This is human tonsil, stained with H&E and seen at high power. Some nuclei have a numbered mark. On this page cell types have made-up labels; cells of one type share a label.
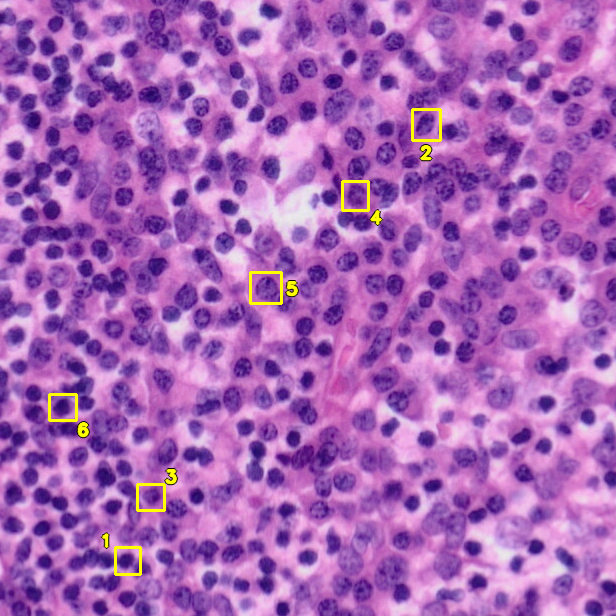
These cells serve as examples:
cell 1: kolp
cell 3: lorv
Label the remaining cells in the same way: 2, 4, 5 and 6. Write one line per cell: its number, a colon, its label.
2: lorv
4: lorv
5: lorv
6: kolp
